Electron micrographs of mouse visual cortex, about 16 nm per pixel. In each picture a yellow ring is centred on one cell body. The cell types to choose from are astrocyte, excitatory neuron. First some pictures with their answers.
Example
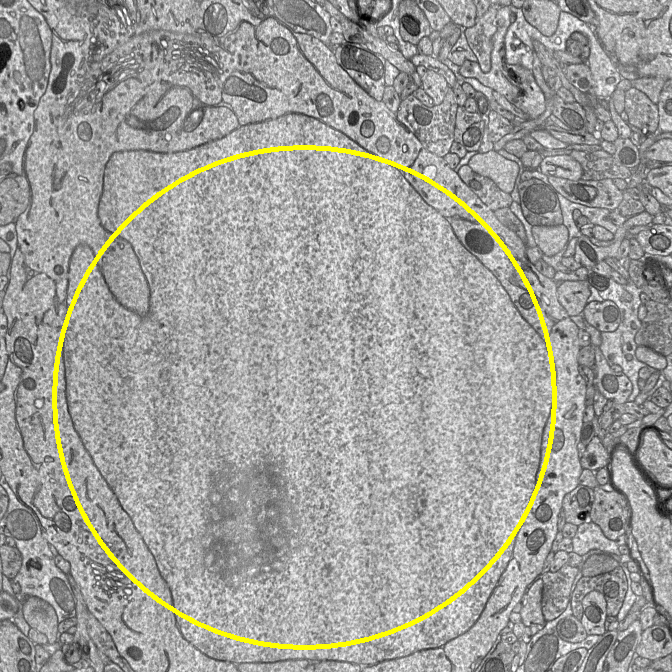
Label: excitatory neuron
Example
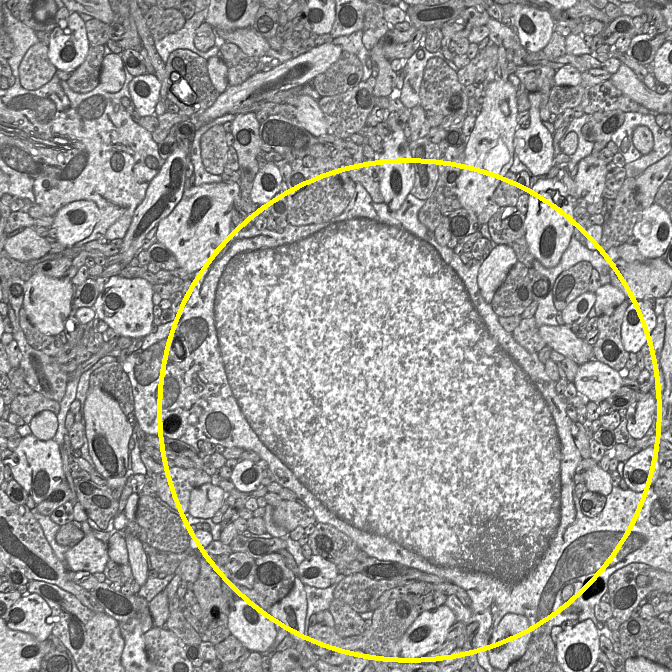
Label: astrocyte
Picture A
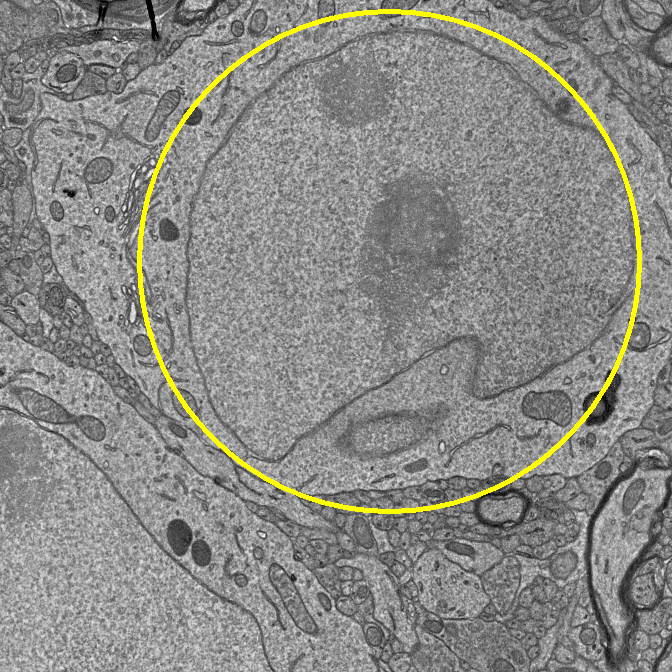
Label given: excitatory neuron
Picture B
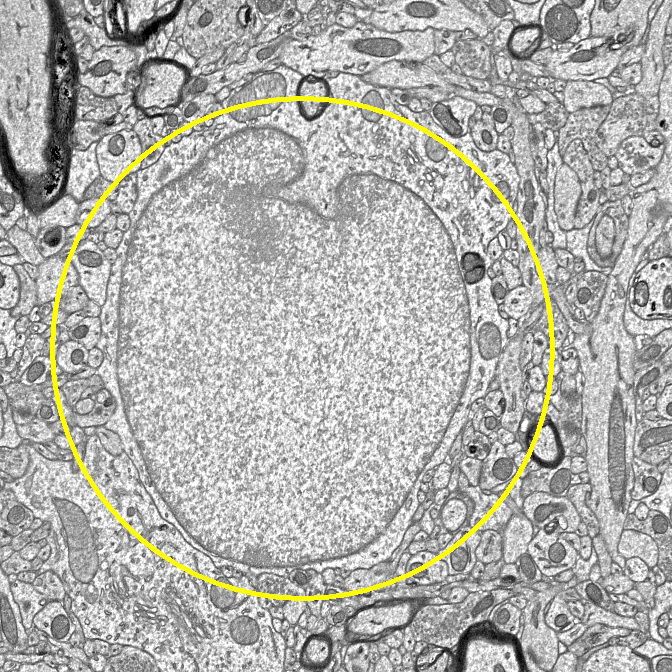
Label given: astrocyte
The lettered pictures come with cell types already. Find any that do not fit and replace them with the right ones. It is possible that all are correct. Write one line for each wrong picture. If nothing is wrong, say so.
Nothing to fix; every label fits.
